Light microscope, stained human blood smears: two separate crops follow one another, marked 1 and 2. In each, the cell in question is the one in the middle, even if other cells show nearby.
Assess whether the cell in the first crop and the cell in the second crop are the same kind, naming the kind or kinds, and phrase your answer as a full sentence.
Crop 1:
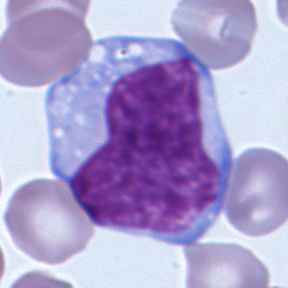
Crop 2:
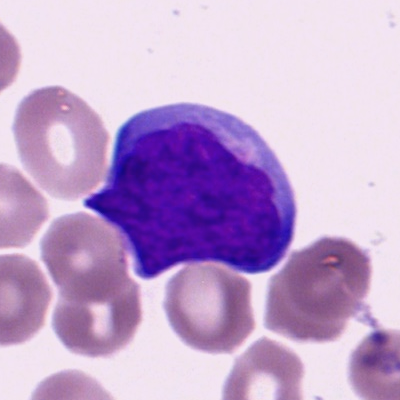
Yes, the cells of interest in both crops are blasts.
